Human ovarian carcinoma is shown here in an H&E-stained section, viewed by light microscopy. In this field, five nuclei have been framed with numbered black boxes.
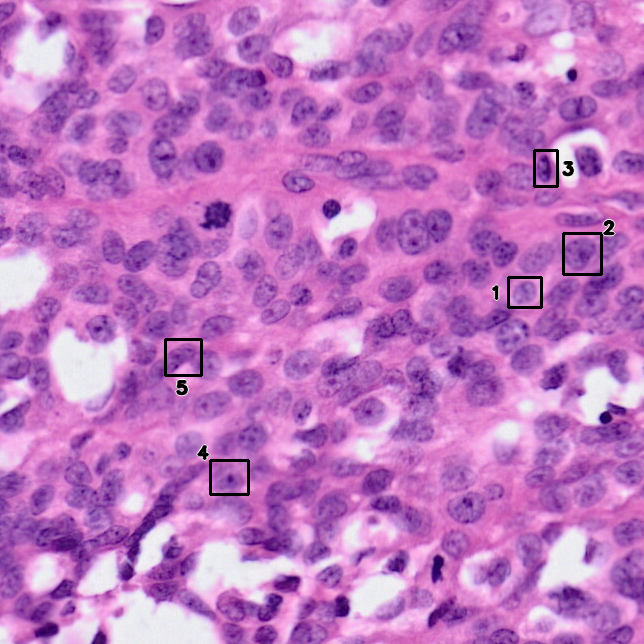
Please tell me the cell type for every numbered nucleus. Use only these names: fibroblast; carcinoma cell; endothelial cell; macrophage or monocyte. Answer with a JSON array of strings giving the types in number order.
["macrophage or monocyte", "carcinoma cell", "macrophage or monocyte", "carcinoma cell", "carcinoma cell"]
